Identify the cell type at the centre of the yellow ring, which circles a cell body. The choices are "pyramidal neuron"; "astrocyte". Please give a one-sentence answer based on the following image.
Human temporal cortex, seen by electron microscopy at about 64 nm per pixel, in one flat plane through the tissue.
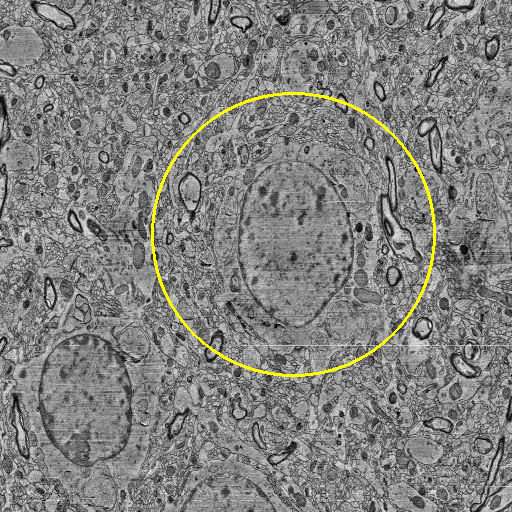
The cell marked by the ring is an astrocyte.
